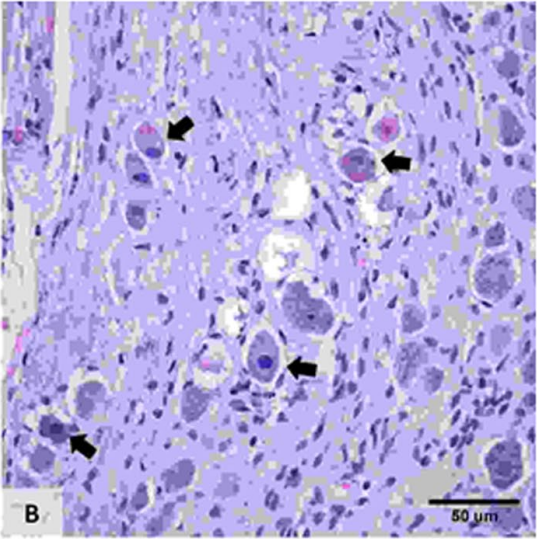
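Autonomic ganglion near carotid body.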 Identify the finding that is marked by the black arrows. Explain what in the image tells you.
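Large round cell bodies at the arrows have small, dark, condensed nuclei. Some marked cell bodies have pink cytoplasm. Clear spaces surround several marked cell bodies. The answer: central chromatolysis, perikaryon eosinophilia, vacuolation and karyopyknosis.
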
